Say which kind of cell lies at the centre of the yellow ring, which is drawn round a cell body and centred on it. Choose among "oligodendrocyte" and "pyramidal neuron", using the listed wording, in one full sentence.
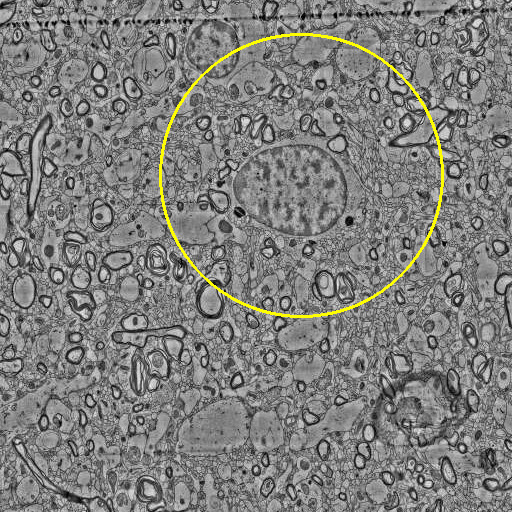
Going by the list, the cell at the yellow ring's centre is an oligodendrocyte.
